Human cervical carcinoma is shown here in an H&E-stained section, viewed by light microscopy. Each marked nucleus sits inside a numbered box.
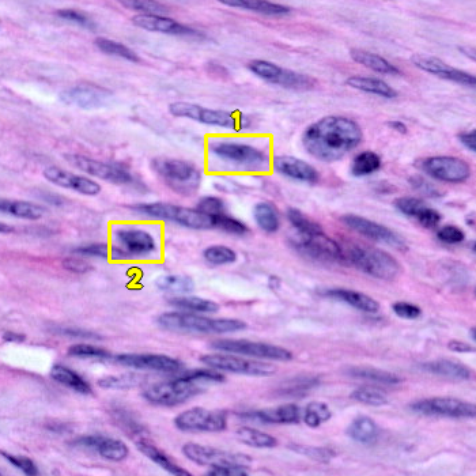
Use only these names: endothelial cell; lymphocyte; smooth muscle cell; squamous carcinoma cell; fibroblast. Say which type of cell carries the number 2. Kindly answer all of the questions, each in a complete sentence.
The cell referred to as 2 is a lymphocyte.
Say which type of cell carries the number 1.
Of the numbered cells, the one labelled 1 is a fibroblast.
